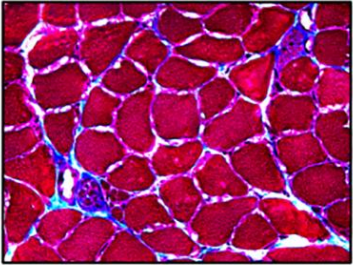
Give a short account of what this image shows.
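This is a cross-section of skeletal muscle in which the individual muscle fibres appear as closely packed, polygonal red to magenta profiles. Each fibre is separated from its neighbours by a thin rim of connective tissue that appears pale to blue. Where several fibres meet, small interstitial spaces contain blue-stained connective tissue. Near the lower left a small vessel with purple-stained contents sits in one of these spaces.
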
